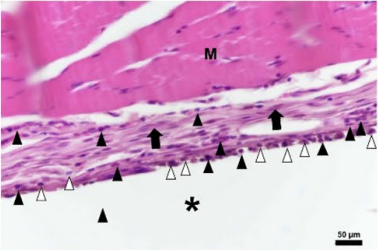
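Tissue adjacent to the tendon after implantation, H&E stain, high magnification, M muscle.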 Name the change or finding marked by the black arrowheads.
Inflammatory cell infiltration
